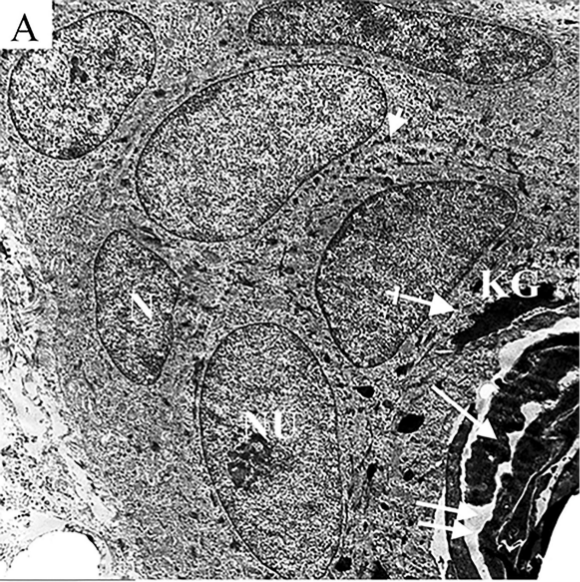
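This is epidermis showing its keratinocyte layers: stratum spinosum and basal cells with large nuclei, granular cells and the cornified surface. The nuclei are large and oval with finely dispersed, pale euchromatin and, in some, a prominent dense nucleolus. The cells are closely packed, and their membranes are joined by small dense desmosomes. Toward the lower right, granular cells contain irregular, very electron-dense keratohyalin granules and fibrillar cytoplasm. Beyond them lie stacked, flattened, dense anucleate horny layers alternating with thin pale lipid layers of the stratum corneum. Intercellular spaces are narrow throughout.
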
